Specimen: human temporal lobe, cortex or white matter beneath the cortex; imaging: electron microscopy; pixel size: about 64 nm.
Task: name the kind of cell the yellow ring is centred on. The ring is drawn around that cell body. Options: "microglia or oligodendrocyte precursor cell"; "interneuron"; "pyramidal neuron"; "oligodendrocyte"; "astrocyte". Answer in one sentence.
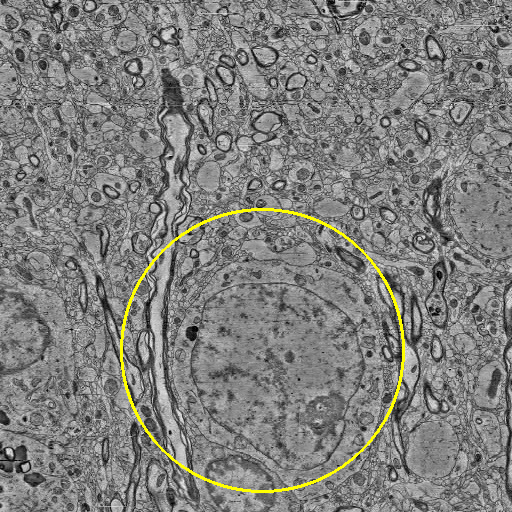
This cell body belongs to a pyramidal neuron.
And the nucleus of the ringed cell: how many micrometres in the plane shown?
The nucleus is approximately 14 micrometers long by 11 micrometers wide in this plane.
